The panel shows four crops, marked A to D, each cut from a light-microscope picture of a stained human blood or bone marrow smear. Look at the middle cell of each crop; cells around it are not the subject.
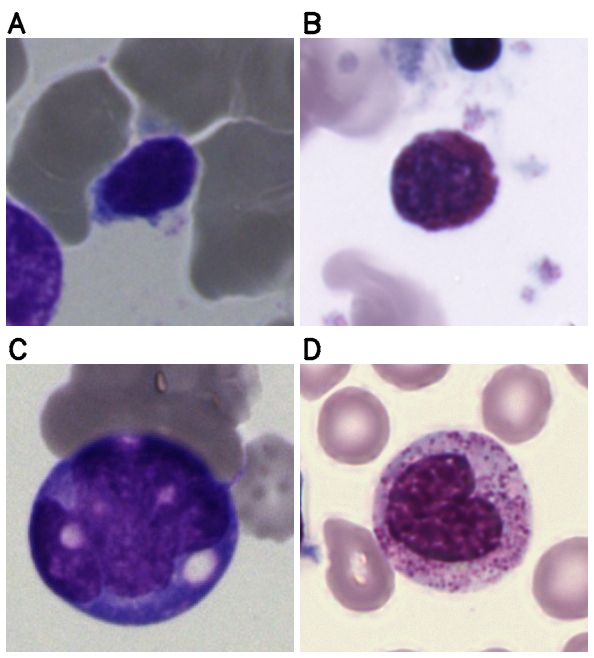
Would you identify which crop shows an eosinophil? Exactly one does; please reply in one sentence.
In this set, crop B is the one showing an eosinophil.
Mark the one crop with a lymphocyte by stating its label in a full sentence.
As for which crop shows a lymphocyte, it is crop A.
